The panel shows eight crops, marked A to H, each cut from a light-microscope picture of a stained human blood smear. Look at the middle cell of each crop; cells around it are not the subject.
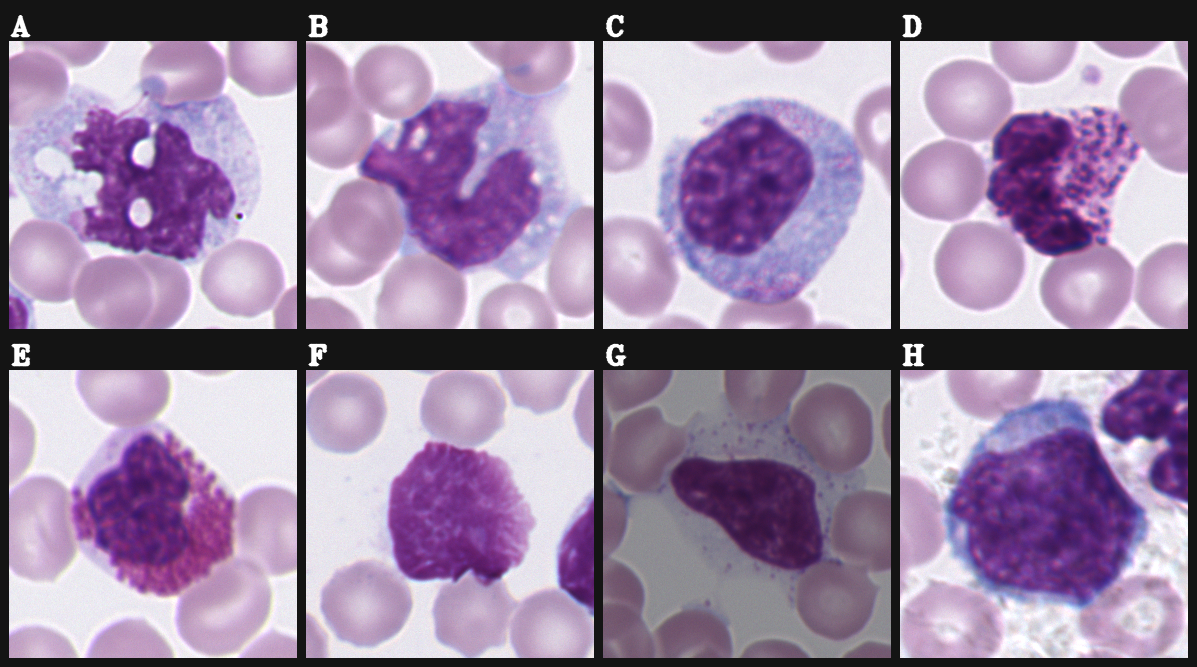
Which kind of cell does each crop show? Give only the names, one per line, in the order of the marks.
monocyte
monocyte
promyelocyte
basophil
eosinophil
smudge cell
large granular lymphocyte
myeloblast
